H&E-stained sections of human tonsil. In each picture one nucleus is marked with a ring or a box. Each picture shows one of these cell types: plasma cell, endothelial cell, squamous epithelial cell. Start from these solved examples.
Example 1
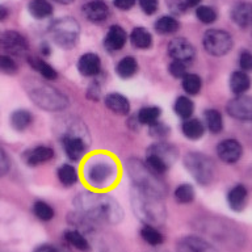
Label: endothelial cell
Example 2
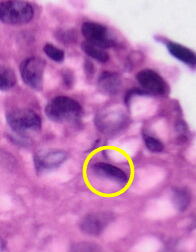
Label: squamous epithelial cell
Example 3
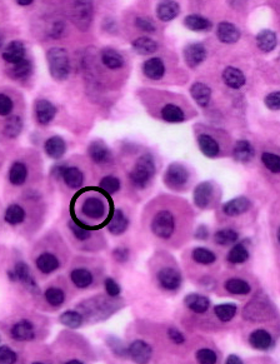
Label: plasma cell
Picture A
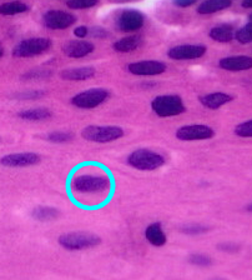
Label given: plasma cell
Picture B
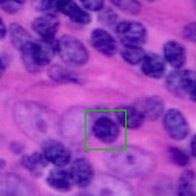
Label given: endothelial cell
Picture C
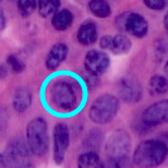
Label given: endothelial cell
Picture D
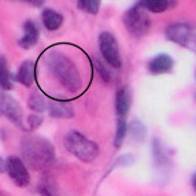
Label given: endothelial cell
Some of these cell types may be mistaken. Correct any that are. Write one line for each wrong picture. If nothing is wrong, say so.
A: not plasma cell but squamous epithelial cell
C: not endothelial cell but plasma cell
